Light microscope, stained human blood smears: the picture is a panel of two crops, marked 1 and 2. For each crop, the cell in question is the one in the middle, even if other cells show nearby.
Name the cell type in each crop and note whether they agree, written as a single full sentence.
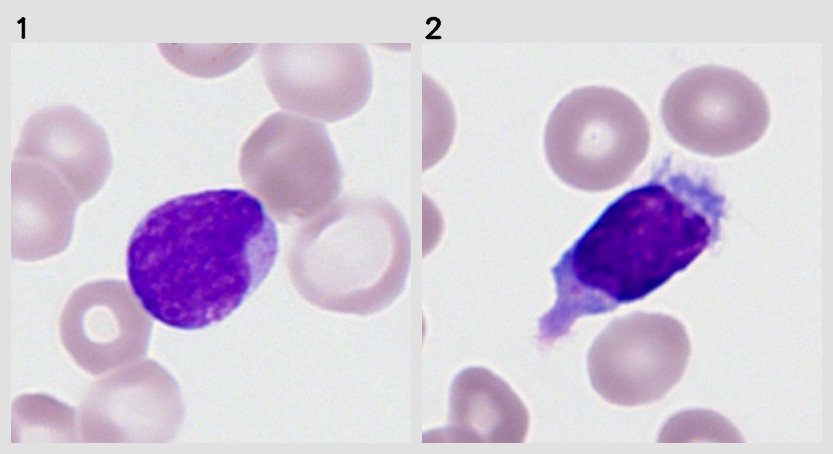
No, crop 1 depicts a myeloblast, and crop 2 depicts a lymphocyte.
